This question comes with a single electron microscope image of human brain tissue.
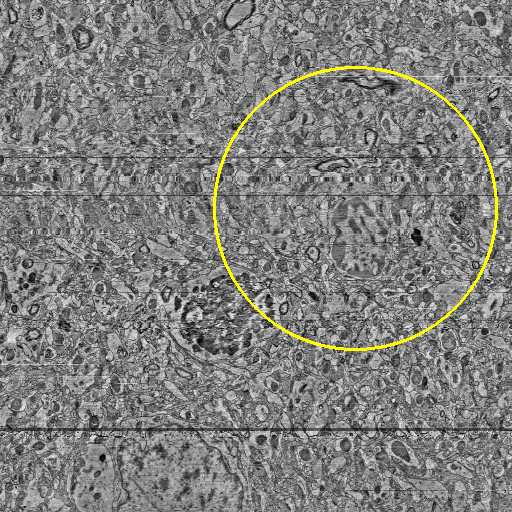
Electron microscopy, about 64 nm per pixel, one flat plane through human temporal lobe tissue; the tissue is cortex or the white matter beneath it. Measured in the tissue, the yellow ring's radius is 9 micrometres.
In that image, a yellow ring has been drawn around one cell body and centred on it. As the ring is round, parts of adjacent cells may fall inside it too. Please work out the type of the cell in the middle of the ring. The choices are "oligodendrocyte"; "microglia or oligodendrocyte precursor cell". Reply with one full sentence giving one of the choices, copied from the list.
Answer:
Of the choices, a microglial cell or oligodendrocyte precursor cell is the cell sitting in the middle of the ring.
